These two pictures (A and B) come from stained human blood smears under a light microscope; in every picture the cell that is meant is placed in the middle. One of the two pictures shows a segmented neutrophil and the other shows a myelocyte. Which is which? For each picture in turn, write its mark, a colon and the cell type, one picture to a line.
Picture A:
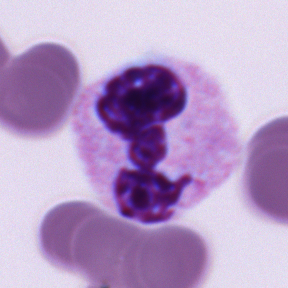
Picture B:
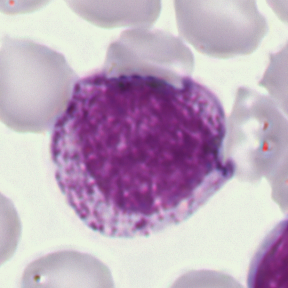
A: segmented neutrophil
B: myelocyte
